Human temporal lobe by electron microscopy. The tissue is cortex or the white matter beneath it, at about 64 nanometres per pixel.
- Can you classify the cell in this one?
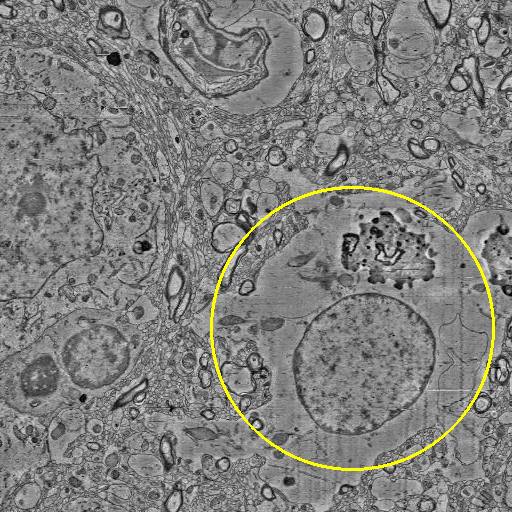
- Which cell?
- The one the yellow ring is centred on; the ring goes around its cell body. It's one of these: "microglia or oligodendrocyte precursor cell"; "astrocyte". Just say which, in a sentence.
The cell body in the ring belongs to an astrocyte.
